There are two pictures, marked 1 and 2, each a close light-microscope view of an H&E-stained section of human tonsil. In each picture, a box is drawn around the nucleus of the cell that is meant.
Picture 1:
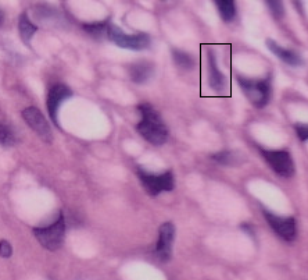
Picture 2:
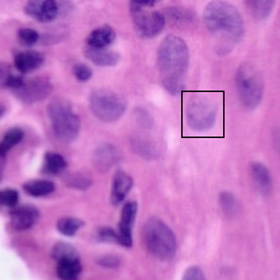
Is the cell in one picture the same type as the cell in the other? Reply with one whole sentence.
Yes, both cells are squamous epithelial cells.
